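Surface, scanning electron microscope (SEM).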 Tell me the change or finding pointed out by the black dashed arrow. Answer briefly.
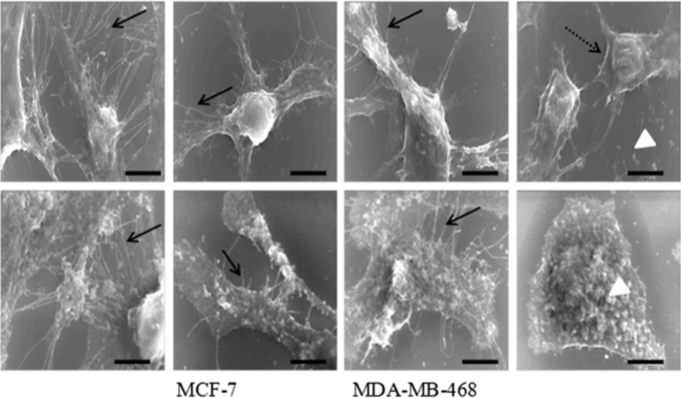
contraction of cytoplasm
